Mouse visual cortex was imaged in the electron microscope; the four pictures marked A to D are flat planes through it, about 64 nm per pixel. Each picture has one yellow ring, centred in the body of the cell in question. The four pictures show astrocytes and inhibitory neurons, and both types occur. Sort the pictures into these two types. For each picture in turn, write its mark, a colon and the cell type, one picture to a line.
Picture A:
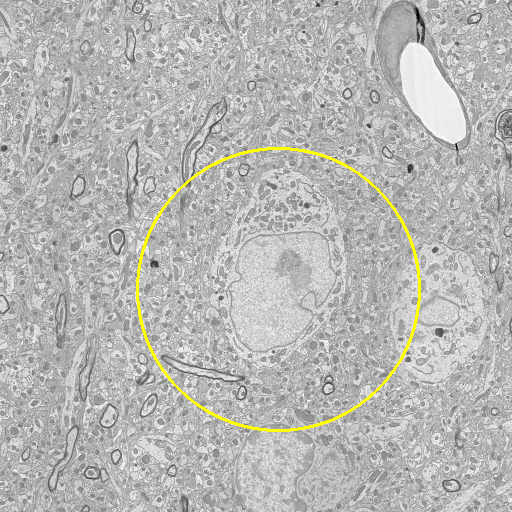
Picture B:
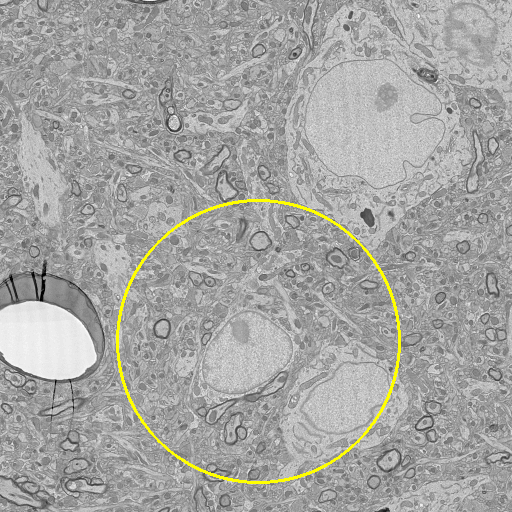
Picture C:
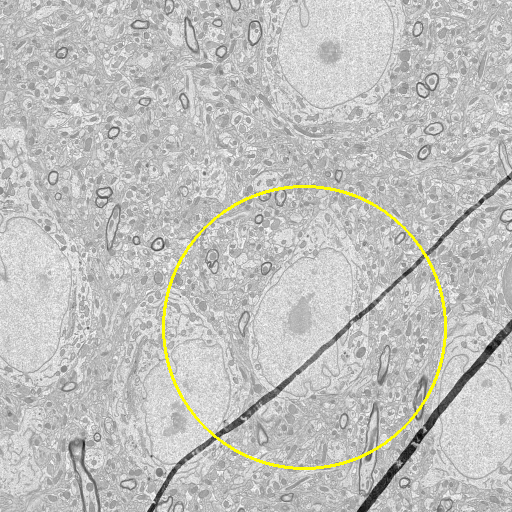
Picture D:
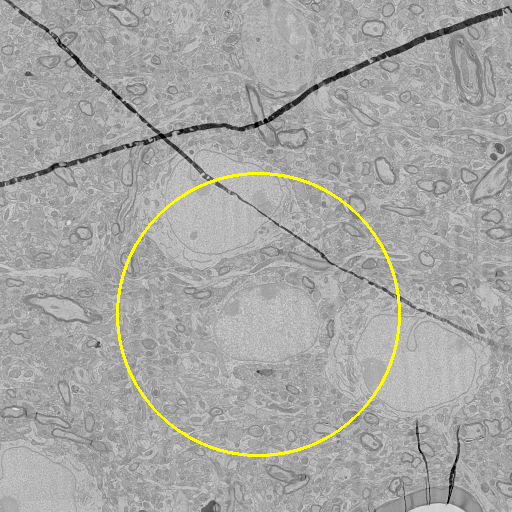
A: inhibitory neuron
B: astrocyte
C: inhibitory neuron
D: astrocyte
